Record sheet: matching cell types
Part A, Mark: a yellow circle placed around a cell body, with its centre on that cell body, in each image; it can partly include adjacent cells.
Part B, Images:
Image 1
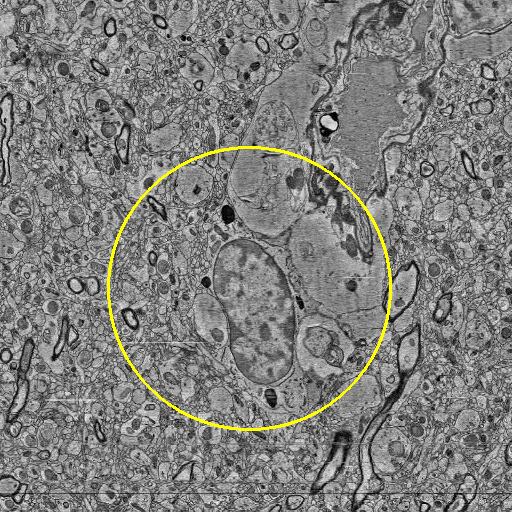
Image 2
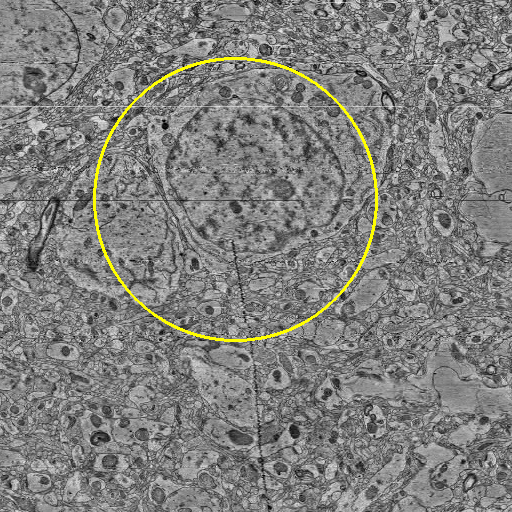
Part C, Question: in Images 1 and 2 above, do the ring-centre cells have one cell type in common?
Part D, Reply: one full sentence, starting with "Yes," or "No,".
No, the ring-centre cells of Image 1 and Image 2 are each of a separate cell type.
